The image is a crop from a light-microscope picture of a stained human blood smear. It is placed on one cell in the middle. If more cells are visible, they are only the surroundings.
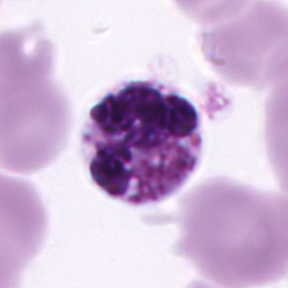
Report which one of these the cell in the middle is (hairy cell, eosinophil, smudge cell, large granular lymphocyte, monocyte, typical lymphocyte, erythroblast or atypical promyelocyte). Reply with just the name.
eosinophil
